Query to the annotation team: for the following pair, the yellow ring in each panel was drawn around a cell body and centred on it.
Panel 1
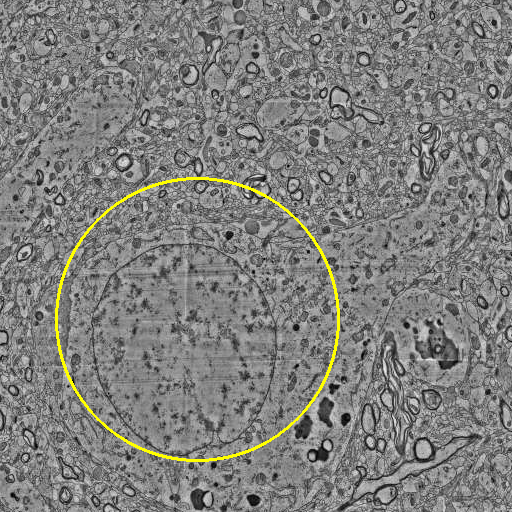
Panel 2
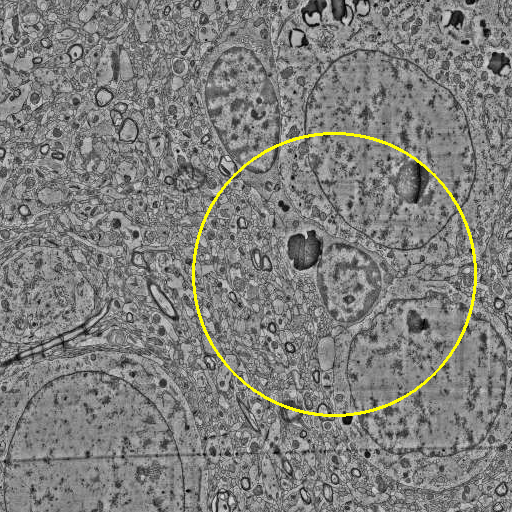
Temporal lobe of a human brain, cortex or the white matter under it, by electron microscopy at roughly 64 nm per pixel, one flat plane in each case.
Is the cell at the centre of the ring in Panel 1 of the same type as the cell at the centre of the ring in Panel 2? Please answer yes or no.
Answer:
no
